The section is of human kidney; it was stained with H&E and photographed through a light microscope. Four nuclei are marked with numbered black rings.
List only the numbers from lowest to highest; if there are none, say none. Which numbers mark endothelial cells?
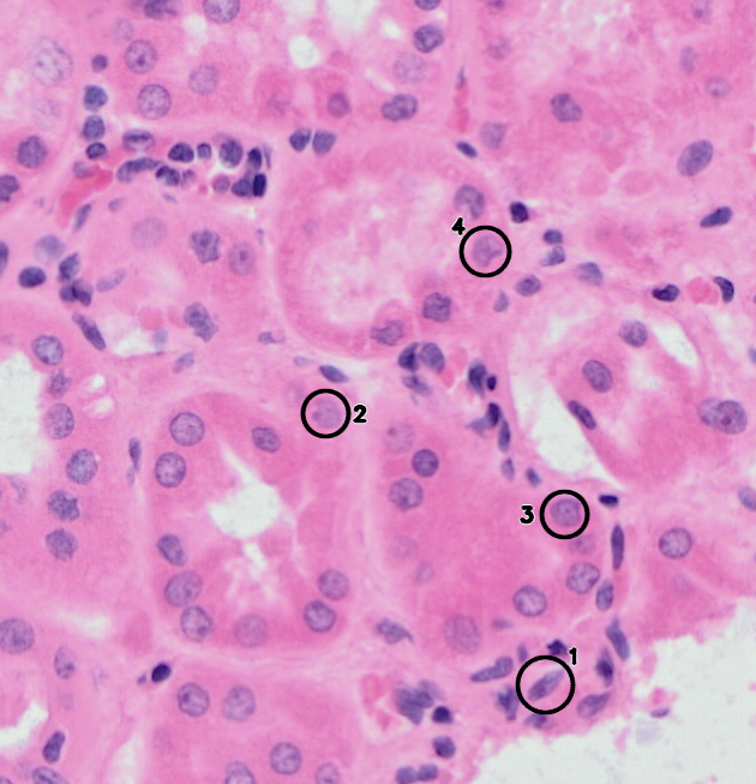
1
